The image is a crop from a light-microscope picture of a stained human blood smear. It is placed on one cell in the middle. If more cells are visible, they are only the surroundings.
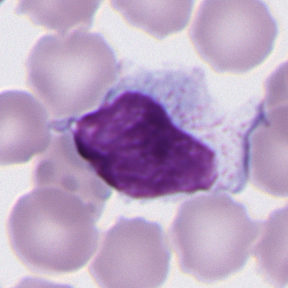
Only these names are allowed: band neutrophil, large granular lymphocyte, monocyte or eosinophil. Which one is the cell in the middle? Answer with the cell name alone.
large granular lymphocyte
